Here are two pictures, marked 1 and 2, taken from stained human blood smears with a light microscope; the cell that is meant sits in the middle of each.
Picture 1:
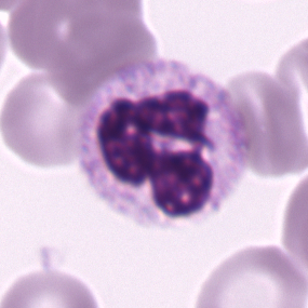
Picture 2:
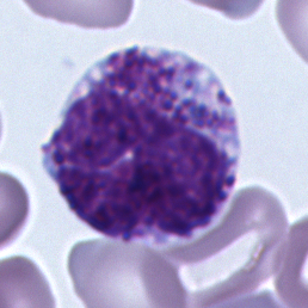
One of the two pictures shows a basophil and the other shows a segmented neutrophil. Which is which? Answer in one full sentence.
Picture 2 shows a basophil, while picture 1 shows a segmented neutrophil.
